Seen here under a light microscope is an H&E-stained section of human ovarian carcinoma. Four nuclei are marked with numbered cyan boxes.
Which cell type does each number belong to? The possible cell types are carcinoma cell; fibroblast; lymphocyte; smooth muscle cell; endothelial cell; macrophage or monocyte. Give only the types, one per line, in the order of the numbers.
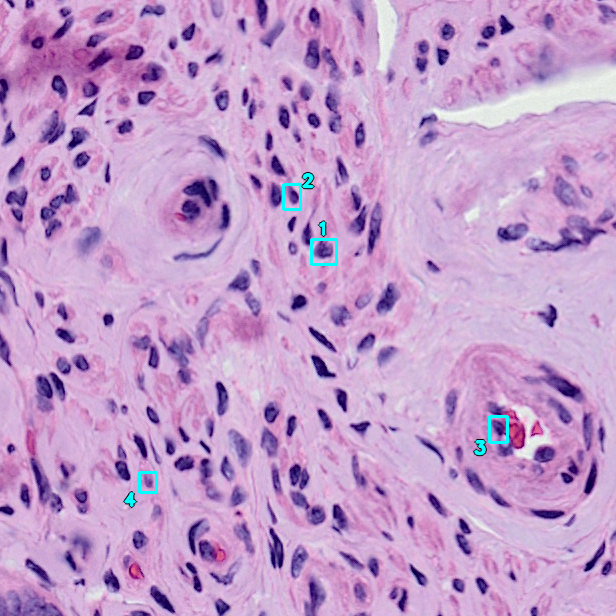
smooth muscle cell
smooth muscle cell
endothelial cell
smooth muscle cell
